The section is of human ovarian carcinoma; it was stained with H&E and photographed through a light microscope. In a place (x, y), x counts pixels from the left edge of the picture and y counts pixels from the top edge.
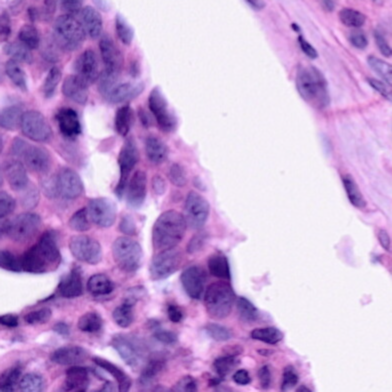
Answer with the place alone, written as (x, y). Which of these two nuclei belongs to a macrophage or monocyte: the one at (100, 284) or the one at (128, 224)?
(100, 284)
